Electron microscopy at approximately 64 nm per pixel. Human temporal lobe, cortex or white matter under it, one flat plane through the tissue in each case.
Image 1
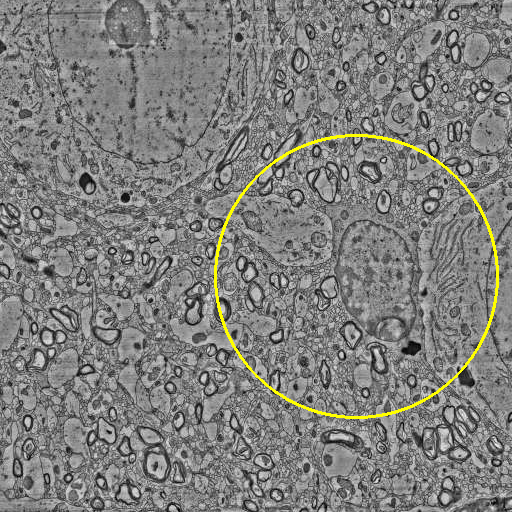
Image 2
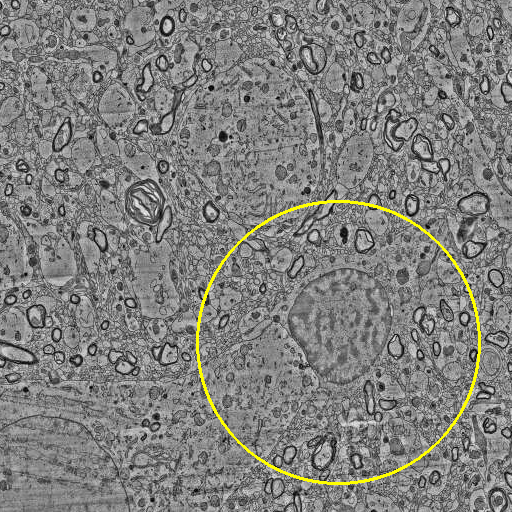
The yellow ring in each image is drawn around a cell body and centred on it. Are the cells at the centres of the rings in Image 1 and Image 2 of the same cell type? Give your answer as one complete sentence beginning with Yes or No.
Yes, both cells are of the same type.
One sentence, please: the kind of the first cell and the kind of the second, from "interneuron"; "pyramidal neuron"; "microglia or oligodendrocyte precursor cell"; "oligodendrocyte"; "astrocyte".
Each of the ringed cells, first and second, is an oligodendrocyte.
